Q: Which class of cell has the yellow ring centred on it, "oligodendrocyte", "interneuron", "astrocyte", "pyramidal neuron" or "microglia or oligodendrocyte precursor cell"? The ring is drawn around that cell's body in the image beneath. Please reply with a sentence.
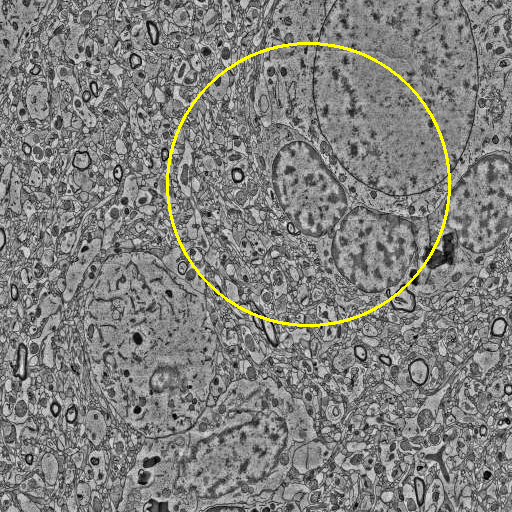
It is centred on an oligodendrocyte.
